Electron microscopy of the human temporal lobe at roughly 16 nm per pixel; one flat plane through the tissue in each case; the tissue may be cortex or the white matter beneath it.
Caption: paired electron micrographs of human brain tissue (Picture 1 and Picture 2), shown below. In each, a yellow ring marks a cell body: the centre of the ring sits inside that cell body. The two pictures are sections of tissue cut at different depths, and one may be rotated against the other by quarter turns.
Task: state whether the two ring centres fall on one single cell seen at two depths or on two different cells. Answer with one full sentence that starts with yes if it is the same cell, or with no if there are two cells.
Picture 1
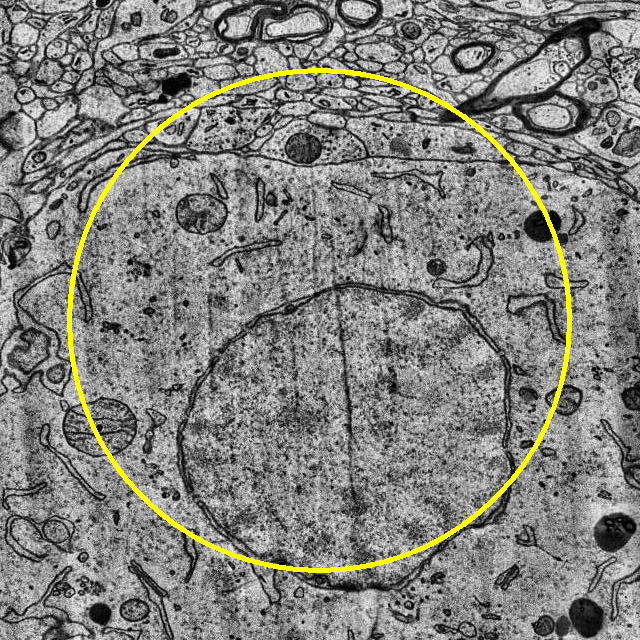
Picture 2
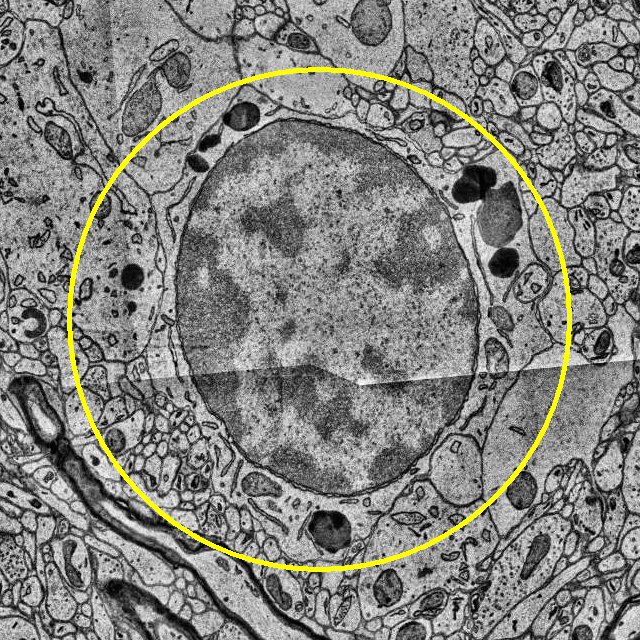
No, the two rings mark two different cells.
